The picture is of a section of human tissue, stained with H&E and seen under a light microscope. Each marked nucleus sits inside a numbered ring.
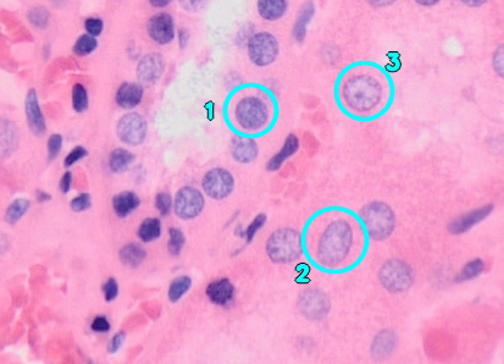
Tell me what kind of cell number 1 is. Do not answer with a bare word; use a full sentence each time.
The cell that goes by number 1 is a collecting duct cell.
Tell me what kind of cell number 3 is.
The cell indicated by marker 3 is a proximal tubule cell in this section.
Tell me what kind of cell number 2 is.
The cell pointed out by number 2 is a proximal tubule cell.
